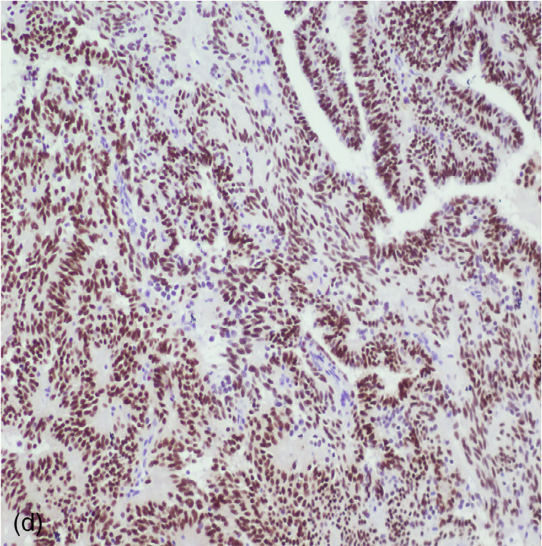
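Tumor tissue in which densely packed cells with oval, elongated nuclei form sheets and papillary-looking fronds lining a cleft at the upper right. Nearly every tumor nucleus is stained dark brown, while the cytoplasm and background are pale. Between the tumor sheets lie looser stromal areas with scattered cells whose nuclei stay blue. Nuclei crowd along the edges of the spaces in palisade-like rows. The staining is thus nuclear and diffuse across the tumor cells.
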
